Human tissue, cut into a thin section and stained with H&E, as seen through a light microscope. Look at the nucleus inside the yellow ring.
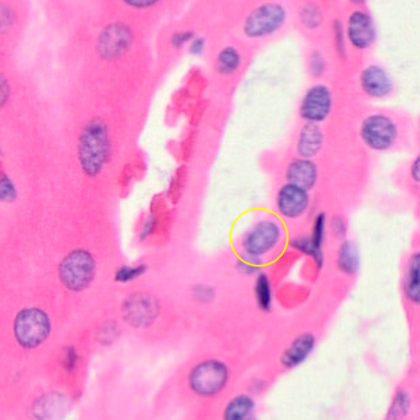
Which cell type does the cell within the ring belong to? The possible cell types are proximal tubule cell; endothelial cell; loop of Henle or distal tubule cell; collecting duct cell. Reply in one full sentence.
The cell type of the cell within the ring is that of a collecting duct cell.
